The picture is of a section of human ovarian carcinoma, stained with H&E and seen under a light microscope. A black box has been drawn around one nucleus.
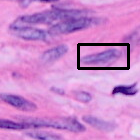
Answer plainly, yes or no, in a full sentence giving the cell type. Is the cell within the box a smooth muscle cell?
Yes, as far as cell type goes, the cell within the box is a smooth muscle cell.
